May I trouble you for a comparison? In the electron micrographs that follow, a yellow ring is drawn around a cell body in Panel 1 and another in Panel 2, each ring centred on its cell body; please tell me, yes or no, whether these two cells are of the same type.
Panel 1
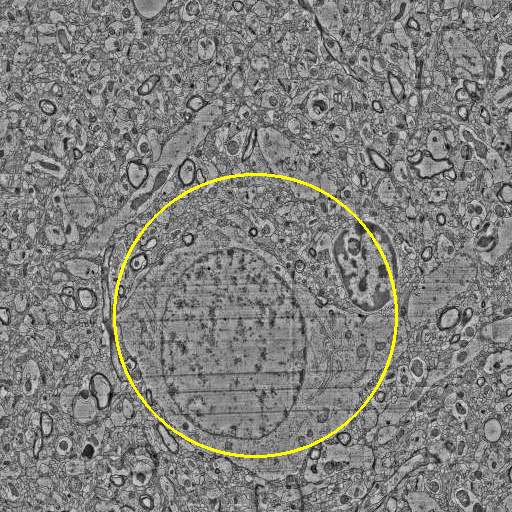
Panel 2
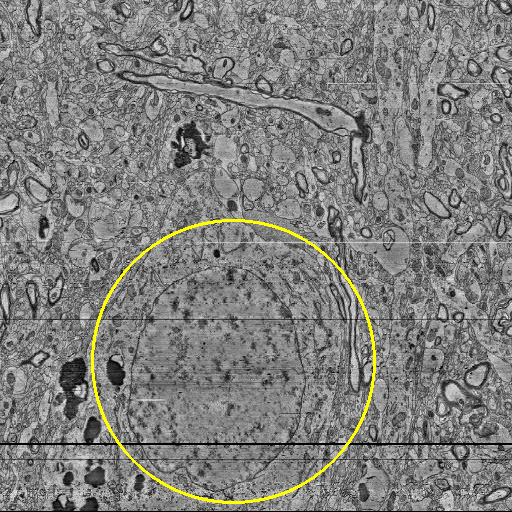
no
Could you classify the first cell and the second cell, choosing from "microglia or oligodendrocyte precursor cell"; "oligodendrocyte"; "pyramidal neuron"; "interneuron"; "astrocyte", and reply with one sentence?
The second cell is a pyramidal neuron, while the first is an interneuron.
